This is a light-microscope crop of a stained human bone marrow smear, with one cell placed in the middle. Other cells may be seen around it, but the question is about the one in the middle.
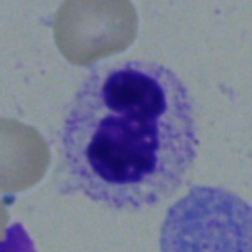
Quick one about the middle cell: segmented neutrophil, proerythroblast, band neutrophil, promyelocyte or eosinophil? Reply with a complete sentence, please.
The cell in the exact centre of the crop is a band neutrophil.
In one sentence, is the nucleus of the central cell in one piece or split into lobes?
Two or more lobes make up the nucleus of this cell.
